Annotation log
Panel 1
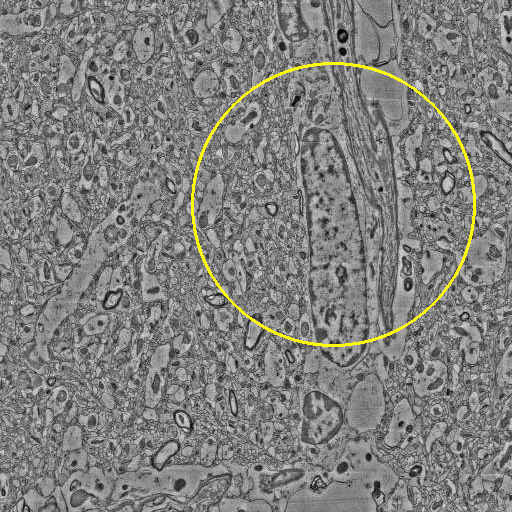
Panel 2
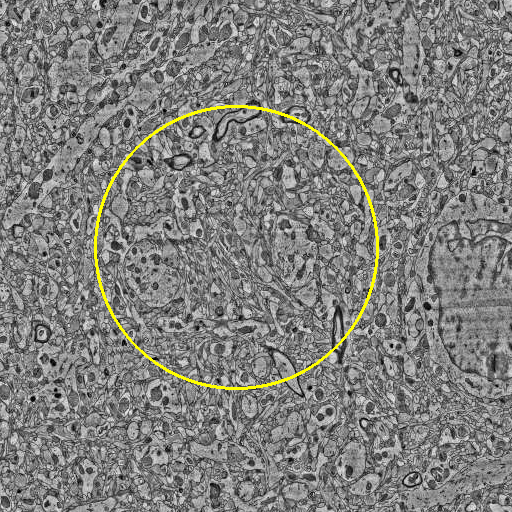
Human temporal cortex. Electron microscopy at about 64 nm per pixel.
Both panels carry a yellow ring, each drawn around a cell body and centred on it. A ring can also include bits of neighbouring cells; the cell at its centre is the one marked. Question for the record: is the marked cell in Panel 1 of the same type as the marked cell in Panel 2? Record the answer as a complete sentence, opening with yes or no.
No, the marked cells in Panel 1 and Panel 2 are of two types.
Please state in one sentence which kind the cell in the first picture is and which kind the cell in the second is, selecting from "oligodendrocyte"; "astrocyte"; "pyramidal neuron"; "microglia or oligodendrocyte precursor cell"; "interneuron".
The first ringed cell is a microglial cell or oligodendrocyte precursor cell, the second ringed cell an oligodendrocyte.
